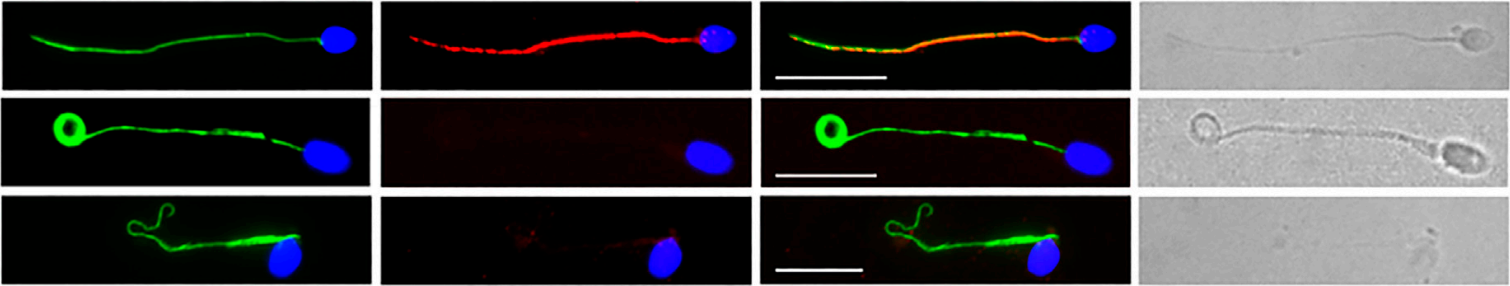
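Three spermatozoa are shown, each with an oval head holding a blue-stained nucleus and a long flagellum lined by green fluorescence. In the top cell a strong red stain runs along most of the flagellum and overlaps the green in the merged view. In the two lower cells the flagella show no clear red stain; one tail ends in a tight ring-shaped coil and the other is bent and curled at its tip.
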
